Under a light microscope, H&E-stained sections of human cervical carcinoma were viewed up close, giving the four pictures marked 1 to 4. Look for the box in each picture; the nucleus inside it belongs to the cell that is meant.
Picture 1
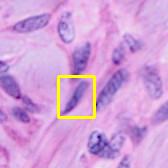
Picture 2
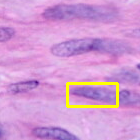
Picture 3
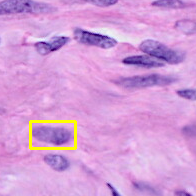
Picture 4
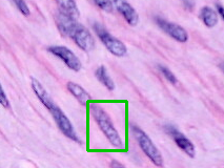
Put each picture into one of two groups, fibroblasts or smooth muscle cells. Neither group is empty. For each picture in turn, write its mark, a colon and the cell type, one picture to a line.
1: smooth muscle cell
2: smooth muscle cell
3: fibroblast
4: smooth muscle cell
